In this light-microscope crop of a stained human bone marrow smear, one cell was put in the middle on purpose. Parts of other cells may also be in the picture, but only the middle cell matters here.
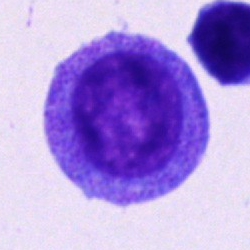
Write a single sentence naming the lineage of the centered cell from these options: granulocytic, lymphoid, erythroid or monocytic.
The cell found in the center of the crop is of the granulocytic lineage.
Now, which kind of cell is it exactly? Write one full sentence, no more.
The central element of this crop is a cell, namely a promyelocyte.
